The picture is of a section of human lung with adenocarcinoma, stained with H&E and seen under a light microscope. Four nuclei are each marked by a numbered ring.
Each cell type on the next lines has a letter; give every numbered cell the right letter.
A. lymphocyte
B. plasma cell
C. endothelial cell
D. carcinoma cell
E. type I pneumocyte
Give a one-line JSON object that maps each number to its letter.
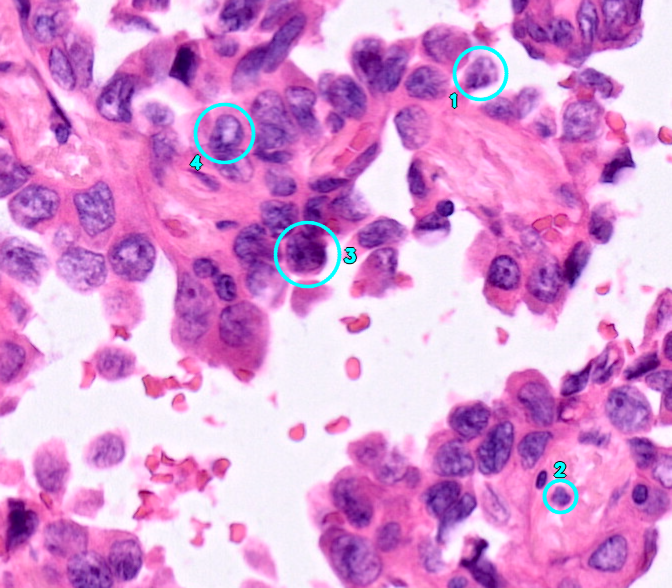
{"1": "D", "2": "A", "3": "D", "4": "D"}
